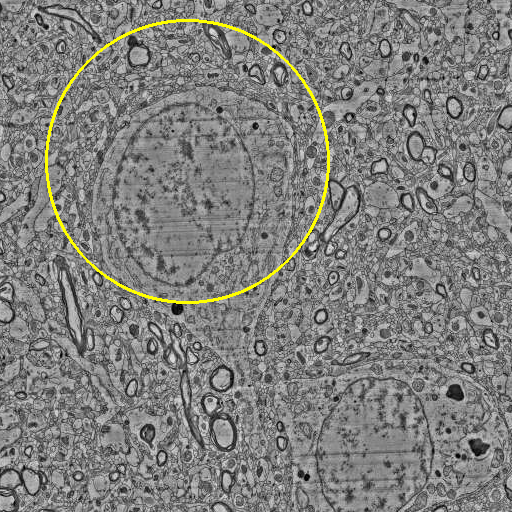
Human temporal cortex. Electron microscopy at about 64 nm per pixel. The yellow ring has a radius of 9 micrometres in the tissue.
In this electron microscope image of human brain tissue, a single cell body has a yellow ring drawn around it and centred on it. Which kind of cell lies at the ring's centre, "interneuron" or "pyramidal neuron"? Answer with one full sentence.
It is an interneuron whose cell body lies at the centre of the yellow ring here.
